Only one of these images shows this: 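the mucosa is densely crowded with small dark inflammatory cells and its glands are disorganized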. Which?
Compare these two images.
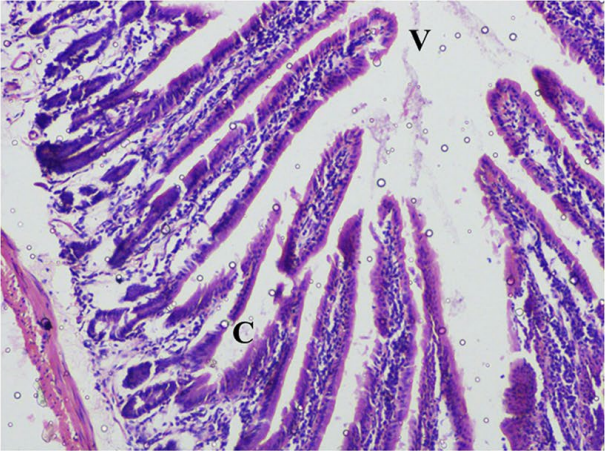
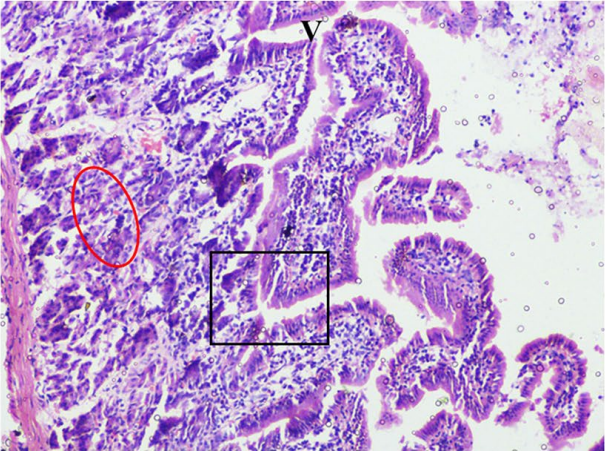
the second image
